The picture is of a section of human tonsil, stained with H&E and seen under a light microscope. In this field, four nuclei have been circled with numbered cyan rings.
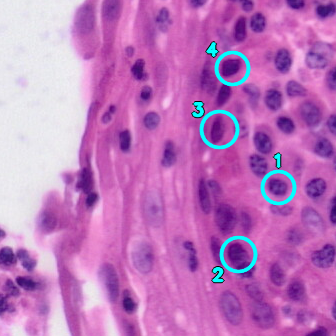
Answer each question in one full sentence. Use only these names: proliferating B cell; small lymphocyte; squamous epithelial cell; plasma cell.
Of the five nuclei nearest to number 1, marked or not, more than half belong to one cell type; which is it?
Of the five nuclei nearest to number 1, most belong to plasma cells.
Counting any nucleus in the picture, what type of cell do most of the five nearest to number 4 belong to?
The majority of the five nuclei closest to number 4 belong to squamous epithelial cells.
